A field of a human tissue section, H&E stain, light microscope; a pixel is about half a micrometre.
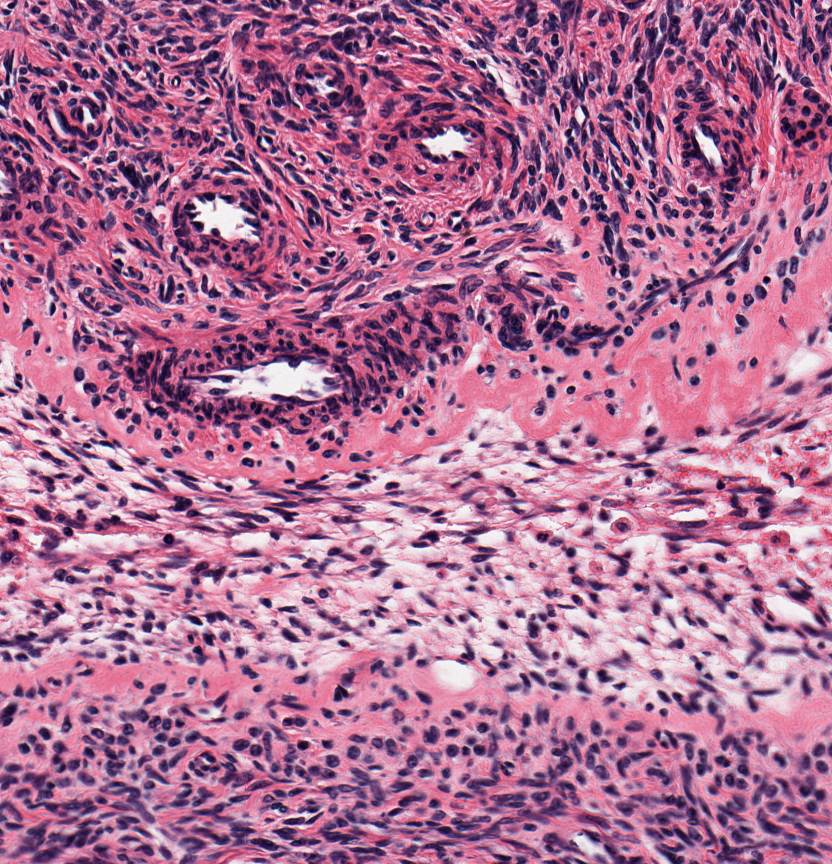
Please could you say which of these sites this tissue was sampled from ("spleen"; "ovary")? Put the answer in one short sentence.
The site this tissue was sampled from is the ovary.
